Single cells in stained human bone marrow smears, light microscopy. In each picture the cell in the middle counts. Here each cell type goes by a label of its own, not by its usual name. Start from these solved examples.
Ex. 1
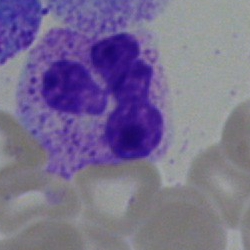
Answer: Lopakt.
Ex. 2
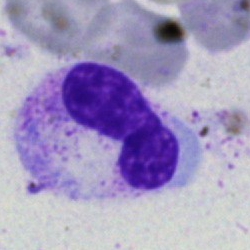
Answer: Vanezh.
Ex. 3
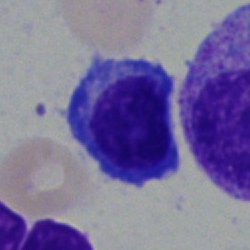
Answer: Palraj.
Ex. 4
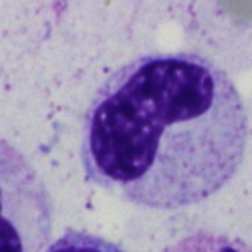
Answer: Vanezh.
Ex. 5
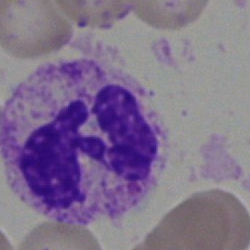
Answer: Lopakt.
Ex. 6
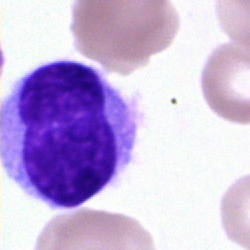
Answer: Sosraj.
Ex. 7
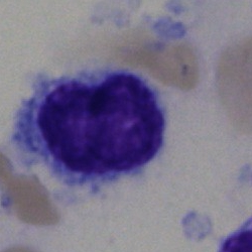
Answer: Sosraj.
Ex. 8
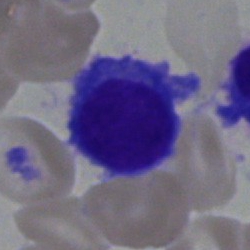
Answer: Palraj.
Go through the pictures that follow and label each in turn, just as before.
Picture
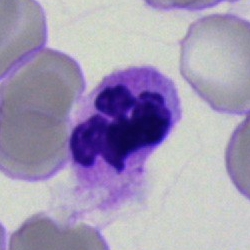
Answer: Lopakt.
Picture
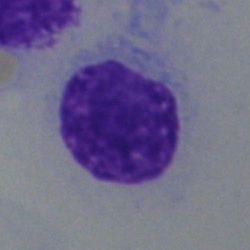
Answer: Sosraj.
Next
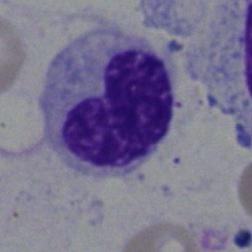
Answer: Vanezh.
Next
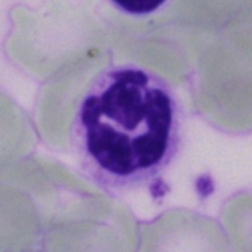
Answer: Lopakt.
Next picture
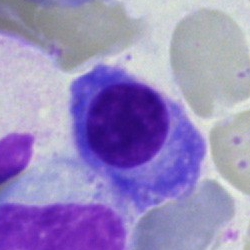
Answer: Palraj.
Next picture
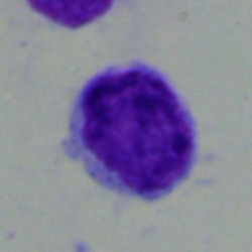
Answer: Sosraj.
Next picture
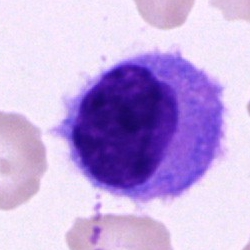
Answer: Sosraj.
